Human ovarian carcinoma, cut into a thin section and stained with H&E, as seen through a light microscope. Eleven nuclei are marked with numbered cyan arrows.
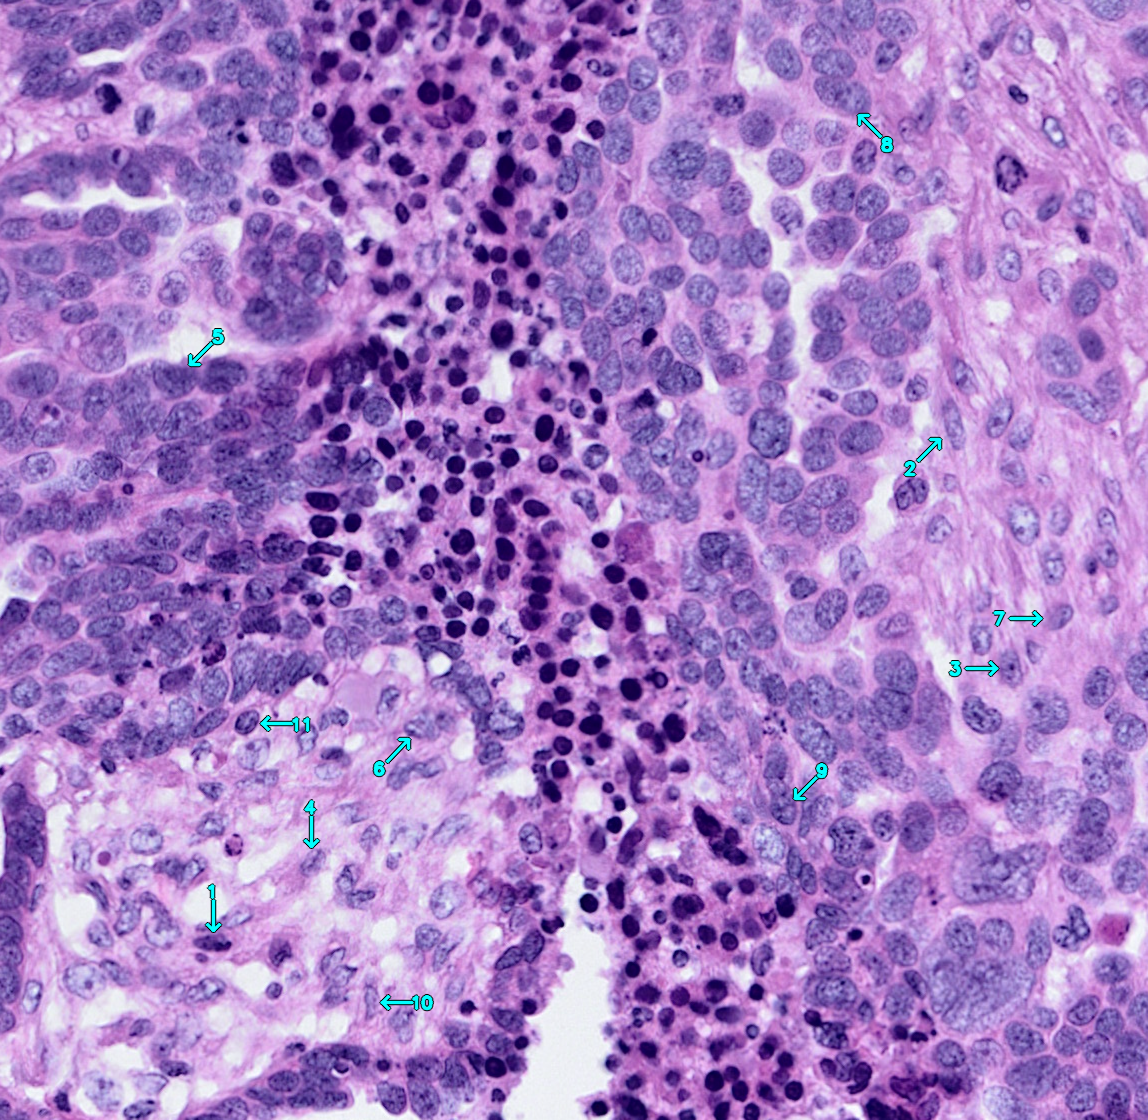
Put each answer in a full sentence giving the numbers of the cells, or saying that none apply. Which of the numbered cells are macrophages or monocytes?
Cells 1 and 11 are classified as macrophages or monocytes.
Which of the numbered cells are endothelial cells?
Across all the numbered cells, no endothelial cells are present.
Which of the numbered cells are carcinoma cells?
The cells tagged with numbers 5, 8 and 9 are carcinoma cells.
